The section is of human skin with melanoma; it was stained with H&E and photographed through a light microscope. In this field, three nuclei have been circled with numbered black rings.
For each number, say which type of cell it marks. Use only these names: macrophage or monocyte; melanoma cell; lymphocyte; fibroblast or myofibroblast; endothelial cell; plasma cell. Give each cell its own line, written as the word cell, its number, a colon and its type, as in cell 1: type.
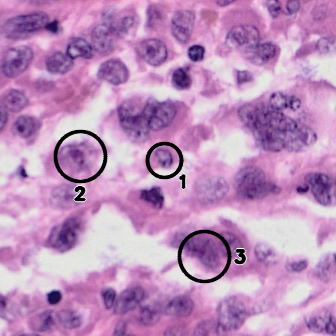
cell 1: macrophage or monocyte
cell 2: melanoma cell
cell 3: melanoma cell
